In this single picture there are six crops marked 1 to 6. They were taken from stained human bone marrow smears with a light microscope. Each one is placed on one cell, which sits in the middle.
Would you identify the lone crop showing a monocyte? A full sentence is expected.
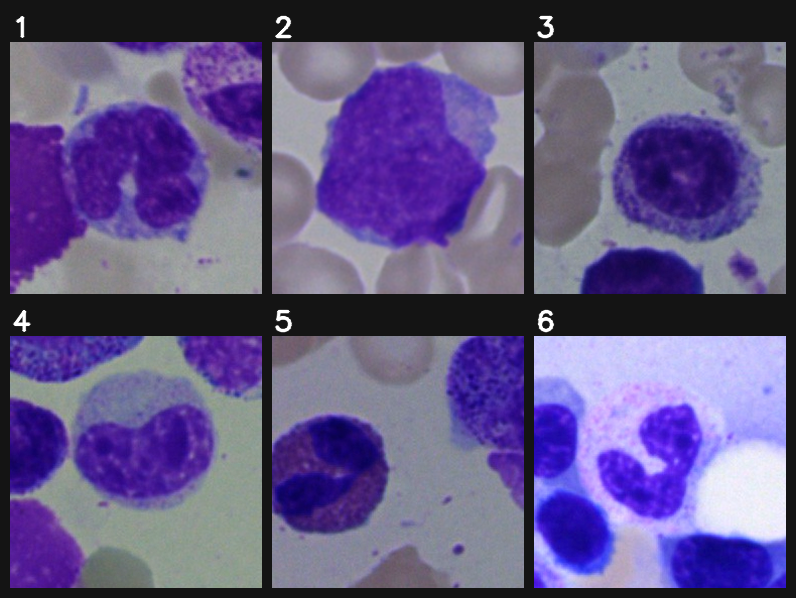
The crop with a monocyte in it is crop 1.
